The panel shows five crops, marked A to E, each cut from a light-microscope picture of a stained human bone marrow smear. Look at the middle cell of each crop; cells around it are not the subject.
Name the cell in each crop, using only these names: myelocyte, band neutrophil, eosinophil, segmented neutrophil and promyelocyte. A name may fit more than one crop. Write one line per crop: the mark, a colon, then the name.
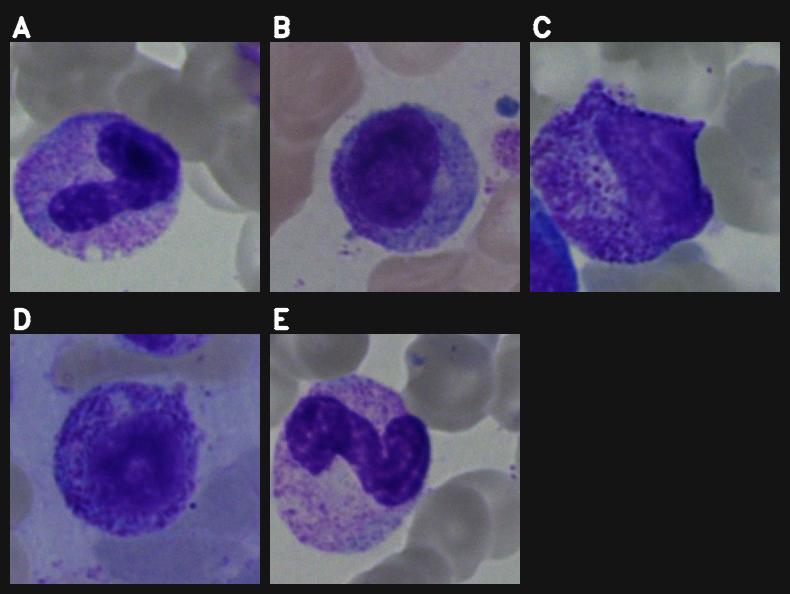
A: band neutrophil
B: myelocyte
C: promyelocyte
D: myelocyte
E: band neutrophil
